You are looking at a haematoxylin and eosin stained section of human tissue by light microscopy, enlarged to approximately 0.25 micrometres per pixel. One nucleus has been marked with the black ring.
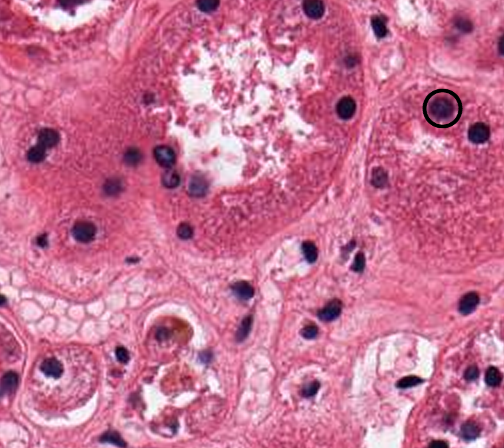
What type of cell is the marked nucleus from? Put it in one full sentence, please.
A nucleus of a proximal tubule cell is the one that is marked.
